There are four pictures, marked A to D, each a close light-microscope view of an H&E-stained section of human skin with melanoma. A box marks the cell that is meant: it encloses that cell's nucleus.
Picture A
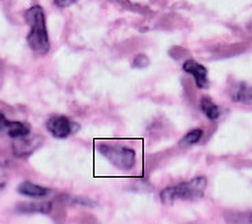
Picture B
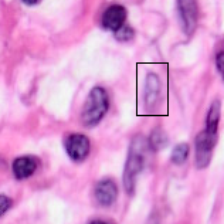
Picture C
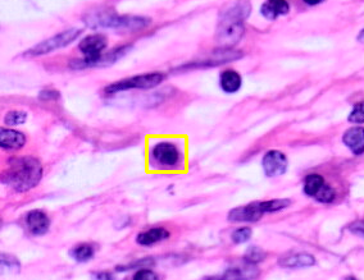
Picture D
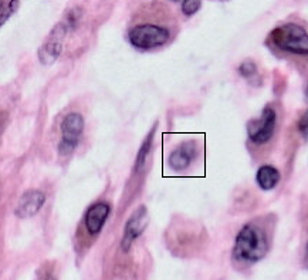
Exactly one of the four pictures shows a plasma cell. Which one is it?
C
